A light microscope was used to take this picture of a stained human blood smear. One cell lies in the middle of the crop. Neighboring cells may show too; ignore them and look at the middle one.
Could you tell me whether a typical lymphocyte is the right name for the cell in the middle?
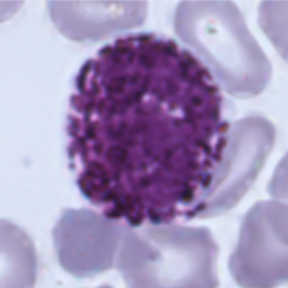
no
